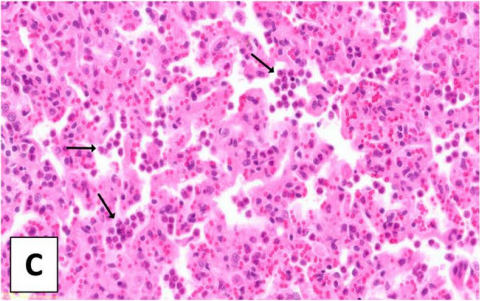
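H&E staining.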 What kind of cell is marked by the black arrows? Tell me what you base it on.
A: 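These cells crowd the air spaces.
Neutrophils.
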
